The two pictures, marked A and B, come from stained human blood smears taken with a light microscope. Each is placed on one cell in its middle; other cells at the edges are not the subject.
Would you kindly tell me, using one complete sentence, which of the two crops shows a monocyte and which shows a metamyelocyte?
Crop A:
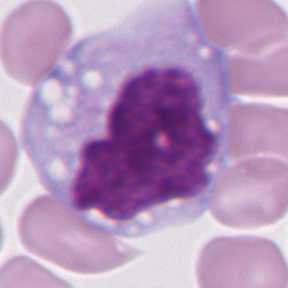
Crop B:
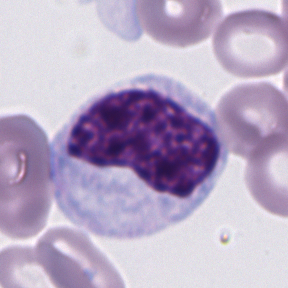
Crop A should be reported as a monocyte, and crop B as a metamyelocyte.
